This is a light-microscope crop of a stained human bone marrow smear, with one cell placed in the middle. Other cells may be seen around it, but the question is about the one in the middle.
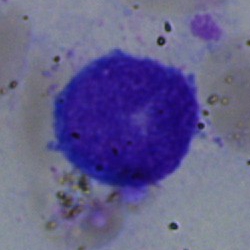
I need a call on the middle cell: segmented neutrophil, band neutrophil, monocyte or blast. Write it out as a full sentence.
At the middle of the frame sits a blast.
